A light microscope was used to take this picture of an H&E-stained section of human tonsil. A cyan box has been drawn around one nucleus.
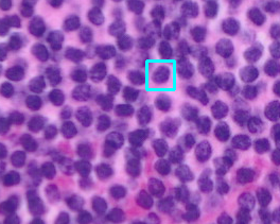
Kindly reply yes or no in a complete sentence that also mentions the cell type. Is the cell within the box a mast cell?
No, within this section, the cell within the box is categorized as a small lymphocyte rather than a mast cell.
